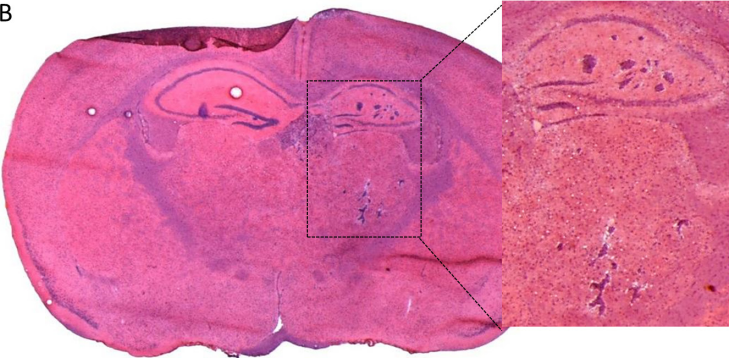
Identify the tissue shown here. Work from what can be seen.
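Curved layered structures near the top midline of the section. Pink and purple stained tissue throughout.
Conclusion: brain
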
